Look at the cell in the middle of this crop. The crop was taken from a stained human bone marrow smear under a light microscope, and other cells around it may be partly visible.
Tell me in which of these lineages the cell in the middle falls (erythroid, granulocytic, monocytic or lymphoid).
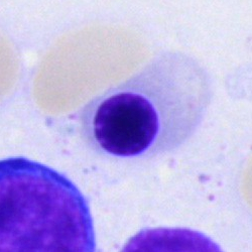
erythroid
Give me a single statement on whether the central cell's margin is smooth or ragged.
In short, the margin is smooth with no projections at all.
